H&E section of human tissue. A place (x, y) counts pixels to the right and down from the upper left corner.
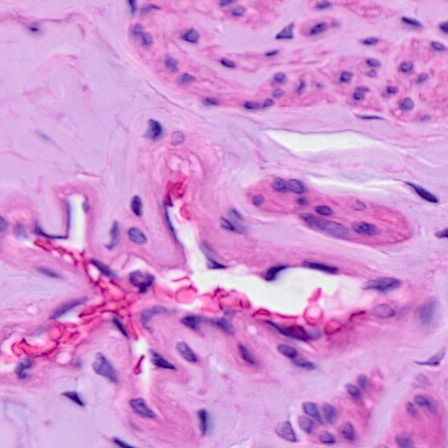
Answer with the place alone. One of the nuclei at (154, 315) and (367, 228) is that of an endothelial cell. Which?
(154, 315)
